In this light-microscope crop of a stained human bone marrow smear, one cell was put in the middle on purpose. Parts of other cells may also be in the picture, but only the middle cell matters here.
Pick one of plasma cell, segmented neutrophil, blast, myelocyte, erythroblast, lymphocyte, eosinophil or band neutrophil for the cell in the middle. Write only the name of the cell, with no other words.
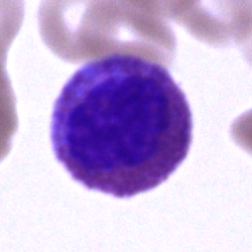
eosinophil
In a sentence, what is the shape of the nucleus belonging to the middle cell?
Between us, the nucleus here is just one compact mass, round, oval or kidney-shaped.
